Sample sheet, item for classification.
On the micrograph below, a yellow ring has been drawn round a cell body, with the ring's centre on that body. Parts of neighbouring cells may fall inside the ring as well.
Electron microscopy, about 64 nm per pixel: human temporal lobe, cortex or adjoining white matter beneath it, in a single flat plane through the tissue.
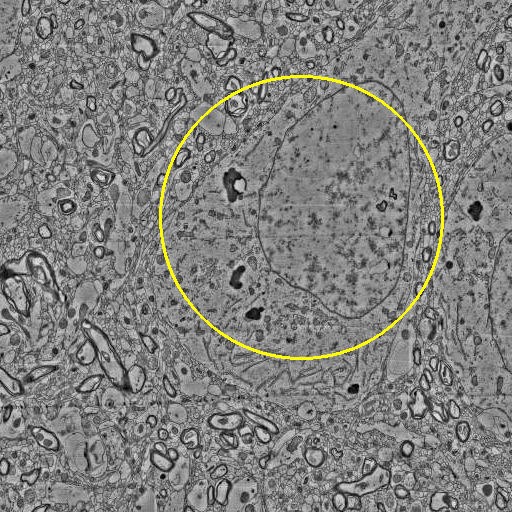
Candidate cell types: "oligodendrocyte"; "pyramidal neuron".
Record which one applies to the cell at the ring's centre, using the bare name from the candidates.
pyramidal neuron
